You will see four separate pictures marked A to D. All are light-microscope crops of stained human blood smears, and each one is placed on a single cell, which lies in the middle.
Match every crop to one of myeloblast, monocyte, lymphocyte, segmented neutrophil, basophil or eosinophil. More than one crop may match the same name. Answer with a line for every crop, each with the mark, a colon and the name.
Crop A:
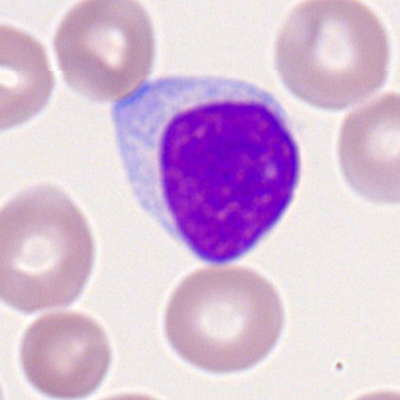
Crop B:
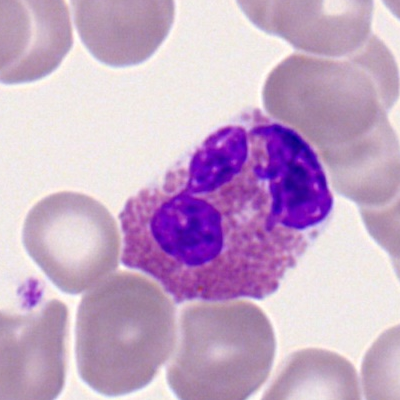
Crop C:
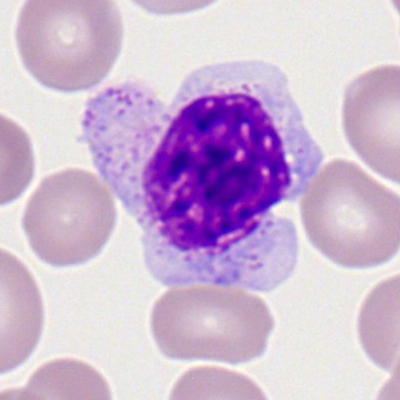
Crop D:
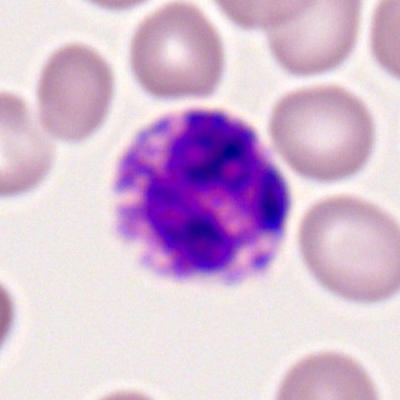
A: lymphocyte
B: eosinophil
C: monocyte
D: basophil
